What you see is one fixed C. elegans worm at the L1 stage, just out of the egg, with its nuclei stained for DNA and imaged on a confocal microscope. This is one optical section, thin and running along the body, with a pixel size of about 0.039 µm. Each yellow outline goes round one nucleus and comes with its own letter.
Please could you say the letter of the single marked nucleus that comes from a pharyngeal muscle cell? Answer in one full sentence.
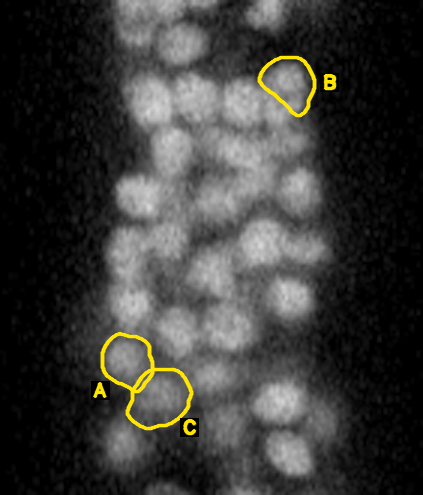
The one from a pharyngeal muscle cell is C.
